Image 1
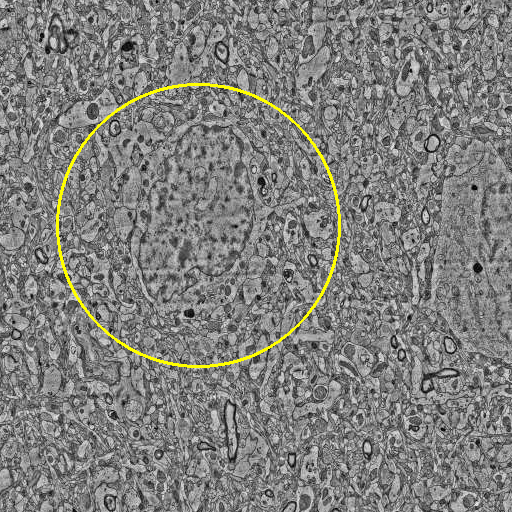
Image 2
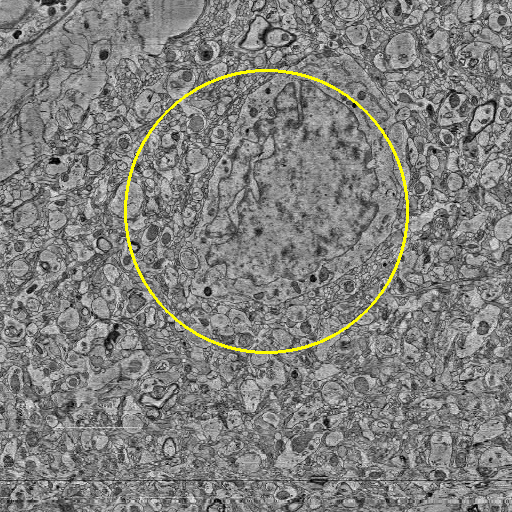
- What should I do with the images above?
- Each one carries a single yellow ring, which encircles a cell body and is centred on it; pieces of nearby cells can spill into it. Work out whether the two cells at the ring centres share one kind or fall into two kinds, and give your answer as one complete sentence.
The ring-centre cells of Image 1 and Image 2 share one kind.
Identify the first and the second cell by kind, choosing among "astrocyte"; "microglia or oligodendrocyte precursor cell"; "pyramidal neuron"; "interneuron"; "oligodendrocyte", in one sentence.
Each of the two rings surrounds an interneuron.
